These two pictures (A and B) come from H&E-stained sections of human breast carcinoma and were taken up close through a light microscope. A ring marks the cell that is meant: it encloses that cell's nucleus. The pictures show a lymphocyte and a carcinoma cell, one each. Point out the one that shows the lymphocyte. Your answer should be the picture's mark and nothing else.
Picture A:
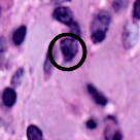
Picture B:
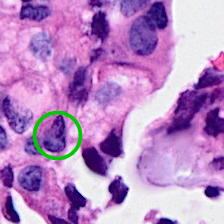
A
